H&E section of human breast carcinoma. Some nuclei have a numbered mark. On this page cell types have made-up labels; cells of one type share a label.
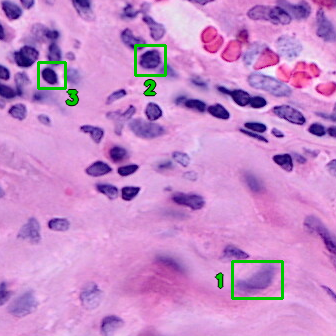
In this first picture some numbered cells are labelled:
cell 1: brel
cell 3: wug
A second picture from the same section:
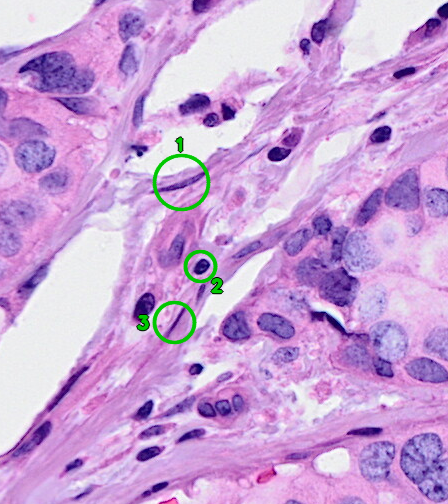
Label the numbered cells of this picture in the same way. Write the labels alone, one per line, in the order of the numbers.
brel
wug
brel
